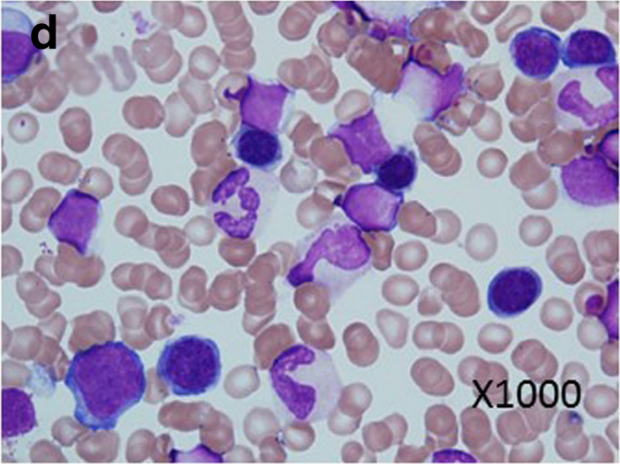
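Bone marrow fluid smear crowded with red cells and scattered nucleated cells. Many immature erythroblasts have round, dark nuclei and deep blue-purple, strongly basophilic cytoplasm. They lie among neutrophils with band-shaped or lobed nuclei and pale cytoplasm.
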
